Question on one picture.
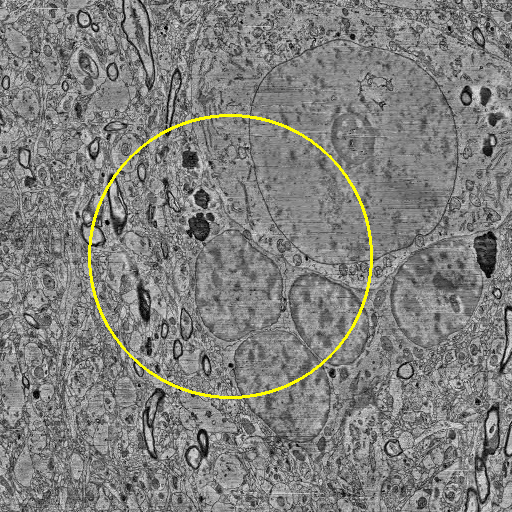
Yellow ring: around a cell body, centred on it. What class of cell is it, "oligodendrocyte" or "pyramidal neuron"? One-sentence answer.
This is an oligodendrocyte, the cell the ring is centred on.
